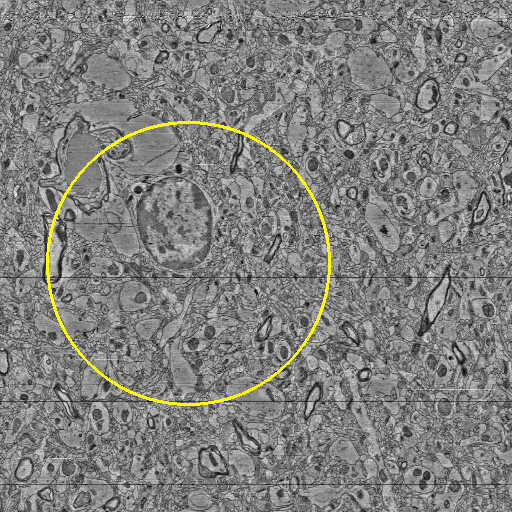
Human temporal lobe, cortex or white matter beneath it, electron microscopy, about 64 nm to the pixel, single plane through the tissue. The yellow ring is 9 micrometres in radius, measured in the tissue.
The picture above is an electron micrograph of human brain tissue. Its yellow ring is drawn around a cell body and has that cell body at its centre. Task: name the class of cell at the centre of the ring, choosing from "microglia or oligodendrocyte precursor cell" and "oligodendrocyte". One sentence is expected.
The ring surrounds the body of a microglial cell or oligodendrocyte precursor cell.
